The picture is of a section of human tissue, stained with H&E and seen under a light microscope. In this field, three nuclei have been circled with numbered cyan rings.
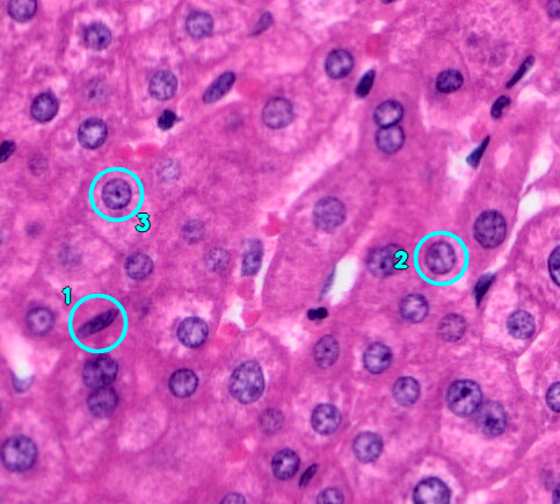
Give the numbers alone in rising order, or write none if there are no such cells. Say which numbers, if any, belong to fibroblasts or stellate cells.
1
